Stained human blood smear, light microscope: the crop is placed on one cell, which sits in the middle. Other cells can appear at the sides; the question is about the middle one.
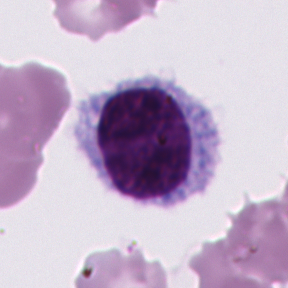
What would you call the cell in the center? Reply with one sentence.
In the middle of this smear crop, the cell is a hairy cell.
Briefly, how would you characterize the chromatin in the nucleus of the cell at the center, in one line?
Take a look at the chromatin, which is coarsely clumped.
